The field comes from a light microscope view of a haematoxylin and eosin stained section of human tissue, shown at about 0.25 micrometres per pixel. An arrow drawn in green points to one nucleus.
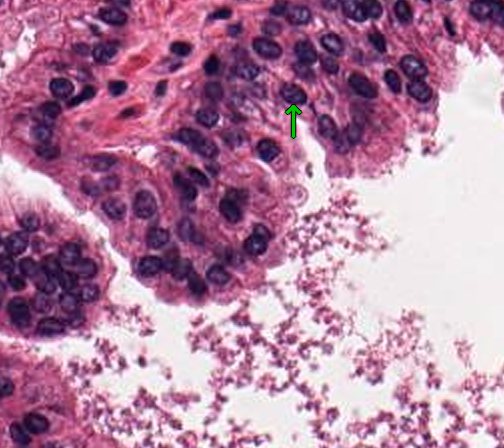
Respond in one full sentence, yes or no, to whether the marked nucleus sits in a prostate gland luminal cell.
Yes, it is a prostate gland luminal cell that holds the marked nucleus.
